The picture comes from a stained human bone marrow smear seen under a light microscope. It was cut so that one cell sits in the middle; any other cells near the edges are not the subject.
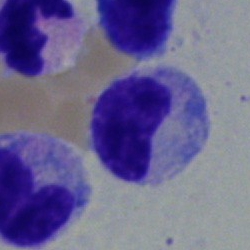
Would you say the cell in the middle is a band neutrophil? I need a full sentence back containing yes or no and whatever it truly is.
No, the centre cell counts as a metamyelocyte, not as a band neutrophil.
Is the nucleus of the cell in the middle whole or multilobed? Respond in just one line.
A single compact nucleus is present, shaped round, oval or like a kidney.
